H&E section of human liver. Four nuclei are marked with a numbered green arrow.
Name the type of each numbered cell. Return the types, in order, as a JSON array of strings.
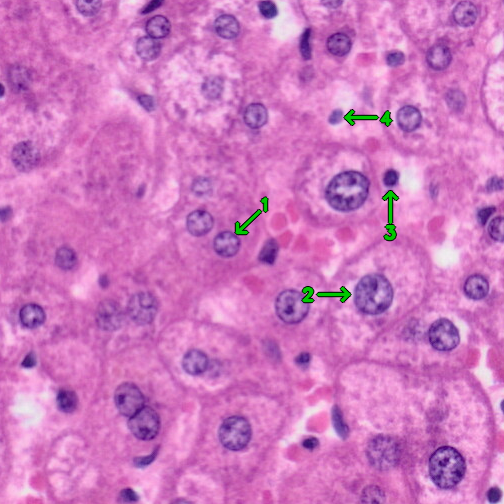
["hepatocyte", "hepatocyte", "lymphocyte", "lymphocyte"]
